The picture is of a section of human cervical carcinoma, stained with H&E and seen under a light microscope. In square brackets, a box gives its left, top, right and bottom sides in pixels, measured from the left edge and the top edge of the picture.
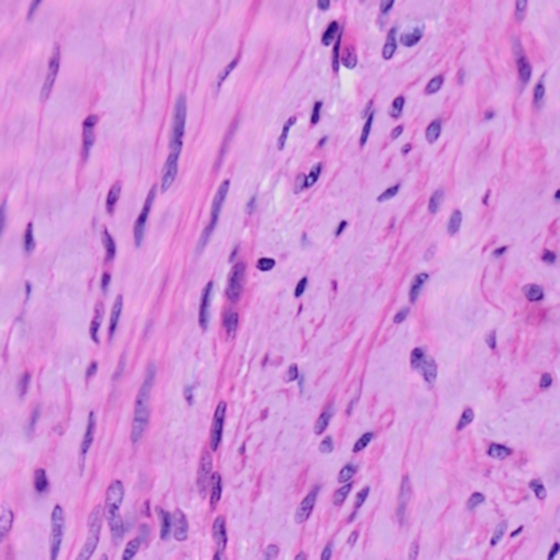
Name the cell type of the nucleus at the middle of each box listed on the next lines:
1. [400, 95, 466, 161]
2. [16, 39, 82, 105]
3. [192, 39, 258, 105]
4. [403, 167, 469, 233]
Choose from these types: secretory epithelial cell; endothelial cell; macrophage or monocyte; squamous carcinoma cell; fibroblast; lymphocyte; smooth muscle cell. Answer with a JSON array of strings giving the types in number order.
["smooth muscle cell", "fibroblast", "smooth muscle cell", "smooth muscle cell"]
